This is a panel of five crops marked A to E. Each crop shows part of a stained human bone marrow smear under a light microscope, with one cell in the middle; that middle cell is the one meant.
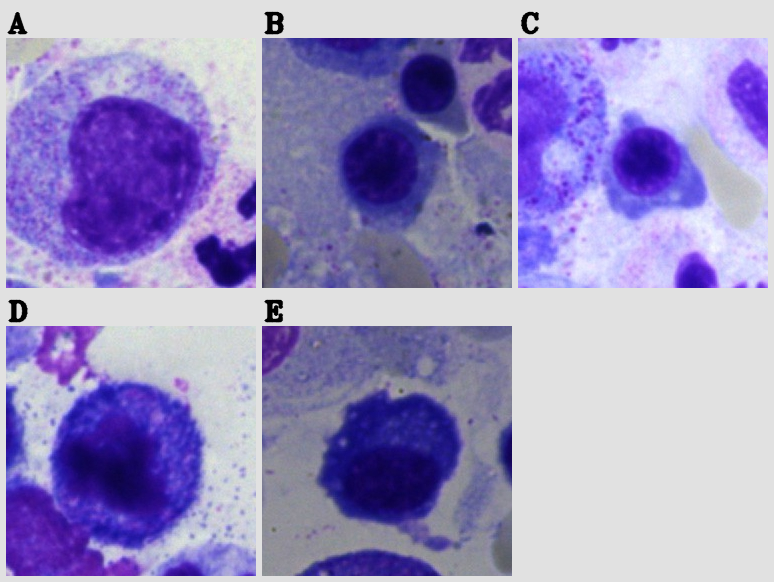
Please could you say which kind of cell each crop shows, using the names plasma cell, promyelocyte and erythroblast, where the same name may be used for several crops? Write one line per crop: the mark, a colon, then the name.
A: promyelocyte
B: erythroblast
C: erythroblast
D: promyelocyte
E: plasma cell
